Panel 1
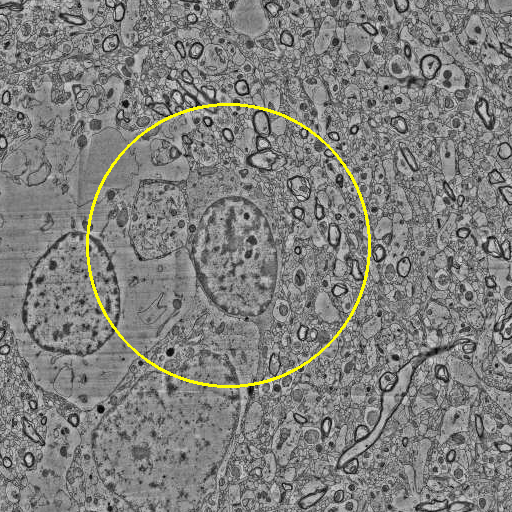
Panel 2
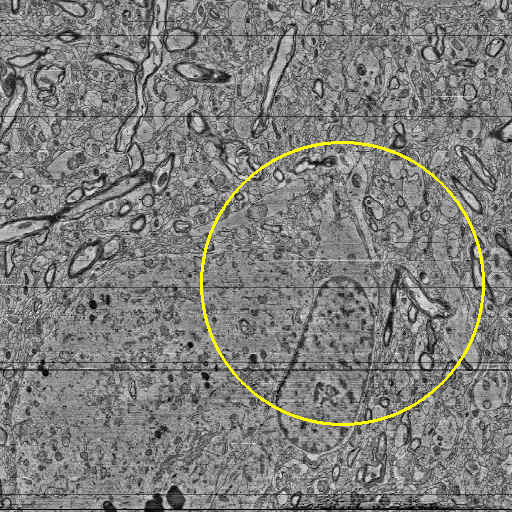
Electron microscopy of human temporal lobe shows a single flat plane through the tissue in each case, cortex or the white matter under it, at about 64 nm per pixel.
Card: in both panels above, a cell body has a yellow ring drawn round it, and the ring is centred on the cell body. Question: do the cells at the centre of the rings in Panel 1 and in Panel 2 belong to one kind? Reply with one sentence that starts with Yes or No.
No, the cells centred in the rings of Panel 1 and Panel 2 are two kinds of cell.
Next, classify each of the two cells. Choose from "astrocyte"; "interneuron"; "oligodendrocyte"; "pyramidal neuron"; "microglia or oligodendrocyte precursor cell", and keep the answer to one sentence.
In the first picture it is an oligodendrocyte; in the second it is a microglial cell or oligodendrocyte precursor cell.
